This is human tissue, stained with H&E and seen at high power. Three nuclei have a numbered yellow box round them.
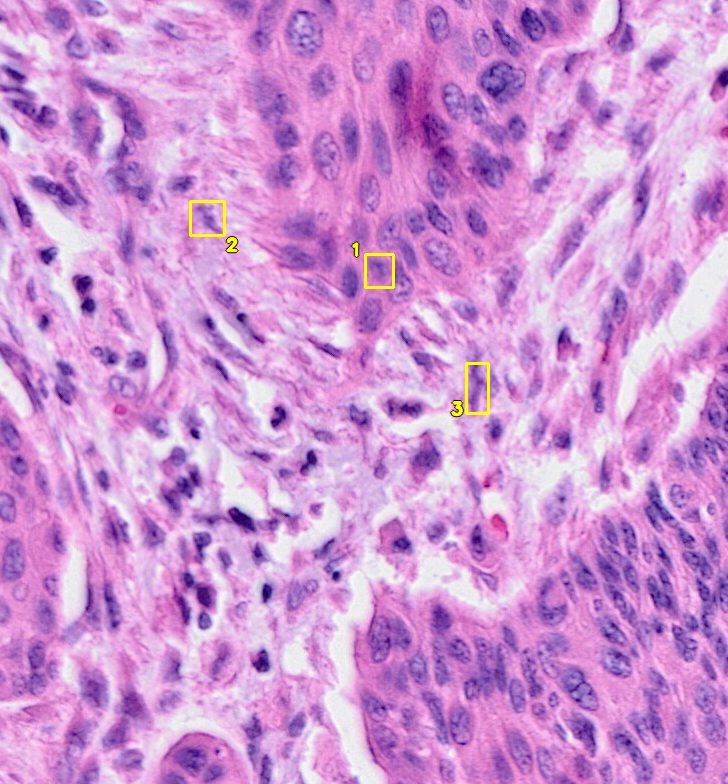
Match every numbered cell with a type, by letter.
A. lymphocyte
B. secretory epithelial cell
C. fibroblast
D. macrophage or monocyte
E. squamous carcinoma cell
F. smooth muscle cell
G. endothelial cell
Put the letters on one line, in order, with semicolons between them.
E; C; C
